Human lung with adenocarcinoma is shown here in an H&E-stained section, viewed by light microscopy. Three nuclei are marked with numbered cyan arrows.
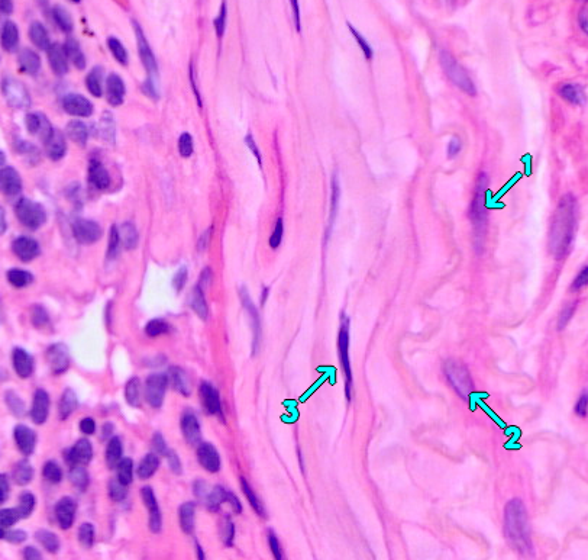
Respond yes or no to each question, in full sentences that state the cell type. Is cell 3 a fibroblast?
Yes, the cell referred to as number 3 is a fibroblast.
